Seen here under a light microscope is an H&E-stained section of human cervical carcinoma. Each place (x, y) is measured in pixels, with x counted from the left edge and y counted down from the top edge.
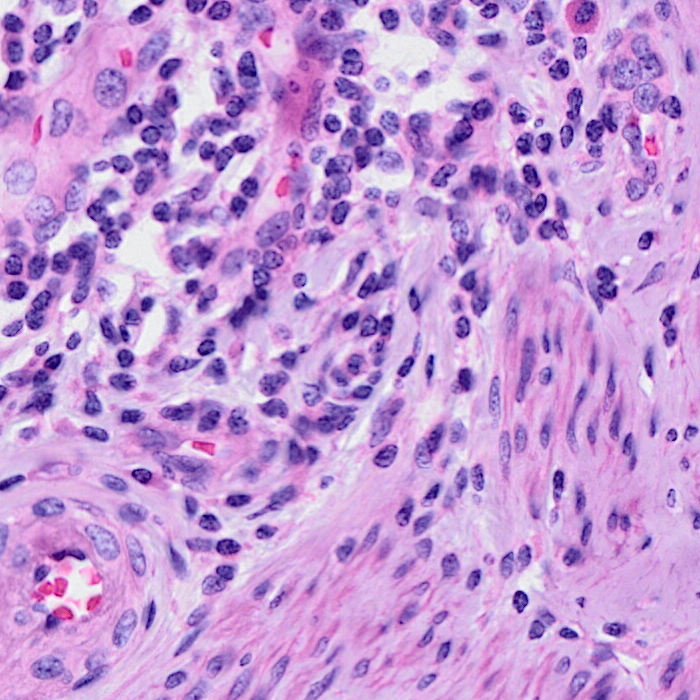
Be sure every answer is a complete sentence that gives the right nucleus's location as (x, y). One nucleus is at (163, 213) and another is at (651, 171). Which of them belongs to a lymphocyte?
Identified as belonging to a lymphocyte is the nucleus at (163, 213).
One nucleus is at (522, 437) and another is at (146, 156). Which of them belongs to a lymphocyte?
The nucleus at (146, 156) belongs to a lymphocyte, which distinguishes it from the other nucleus.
